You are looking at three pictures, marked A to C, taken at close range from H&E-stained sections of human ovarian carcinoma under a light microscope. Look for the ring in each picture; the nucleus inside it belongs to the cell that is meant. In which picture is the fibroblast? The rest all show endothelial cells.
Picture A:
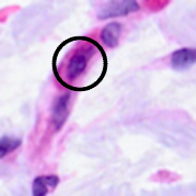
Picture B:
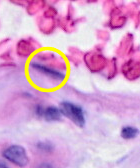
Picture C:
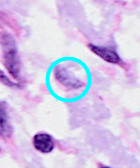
C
